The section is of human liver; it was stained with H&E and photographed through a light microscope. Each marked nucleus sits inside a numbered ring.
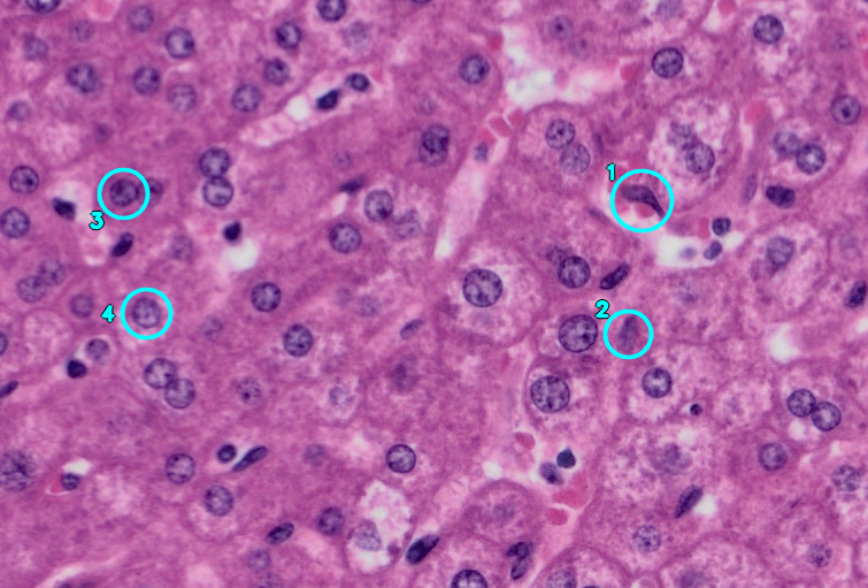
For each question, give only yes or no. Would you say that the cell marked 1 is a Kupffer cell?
yes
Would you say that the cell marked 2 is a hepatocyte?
no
